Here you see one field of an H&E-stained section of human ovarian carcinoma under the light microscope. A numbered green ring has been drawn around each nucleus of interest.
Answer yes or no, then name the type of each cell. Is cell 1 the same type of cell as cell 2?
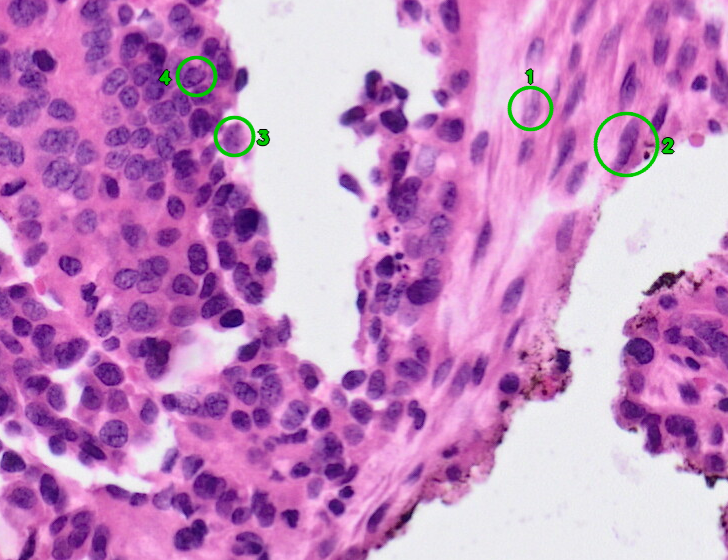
Yes, both are fibroblasts.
